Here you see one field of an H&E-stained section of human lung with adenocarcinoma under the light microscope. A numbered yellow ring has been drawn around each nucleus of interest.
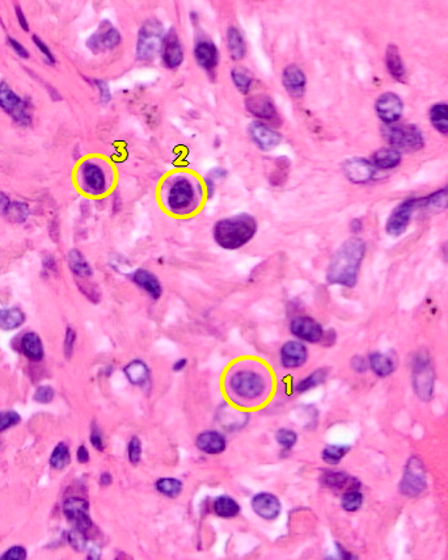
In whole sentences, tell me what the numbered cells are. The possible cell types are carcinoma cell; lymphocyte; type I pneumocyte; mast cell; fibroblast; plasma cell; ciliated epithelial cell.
Cell 1 is a mast cell, cell 2 is a plasma cell and cell 3 is a plasma cell.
